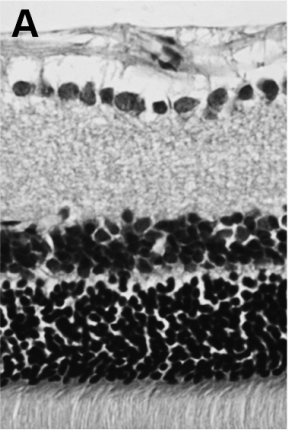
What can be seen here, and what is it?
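This is a section of the retina in which the cell layers are stacked horizontally. At the top, a single row of fairly large, rounded ganglion cell bodies sits beneath the inner surface. Below it is a broad pale, finely granular inner plexiform layer, then a band several cells deep of dark, somewhat larger nuclei forming the inner nuclear layer. A thin pale outer plexiform layer separates this from the thickest band, the outer nuclear layer, packed with small, round, very dark nuclei. At the bottom the photoreceptor layer appears as a pale band with fine vertical striations.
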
